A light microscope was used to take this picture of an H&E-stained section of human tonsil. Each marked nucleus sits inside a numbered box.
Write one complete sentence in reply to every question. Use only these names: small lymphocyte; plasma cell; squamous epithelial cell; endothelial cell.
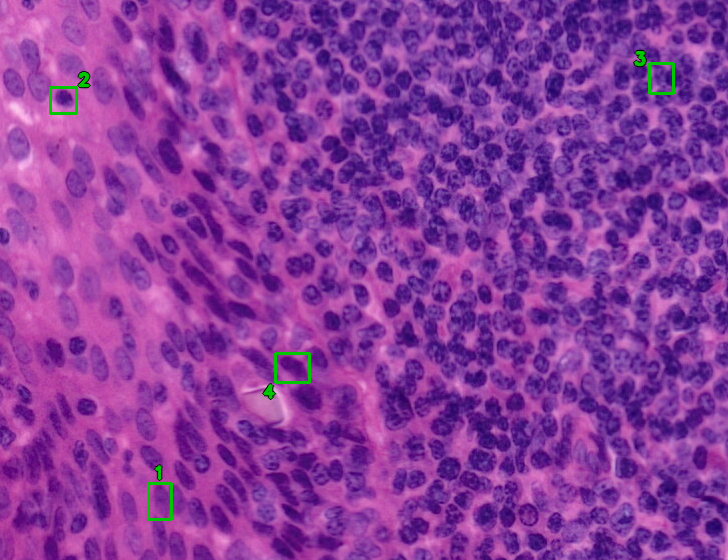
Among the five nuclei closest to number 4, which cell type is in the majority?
Around number 4, most of the five nearest nuclei are those of squamous epithelial cells.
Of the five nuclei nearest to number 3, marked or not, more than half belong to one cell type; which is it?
Of the five nuclei nearest to number 3, most belong to small lymphocytes.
